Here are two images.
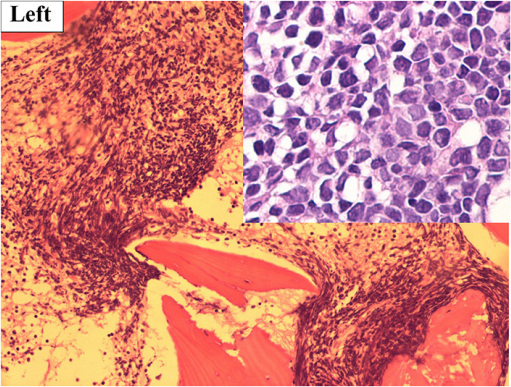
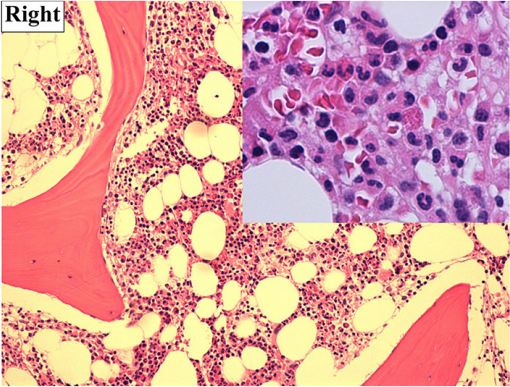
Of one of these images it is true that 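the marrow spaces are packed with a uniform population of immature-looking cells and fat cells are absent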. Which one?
The first image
